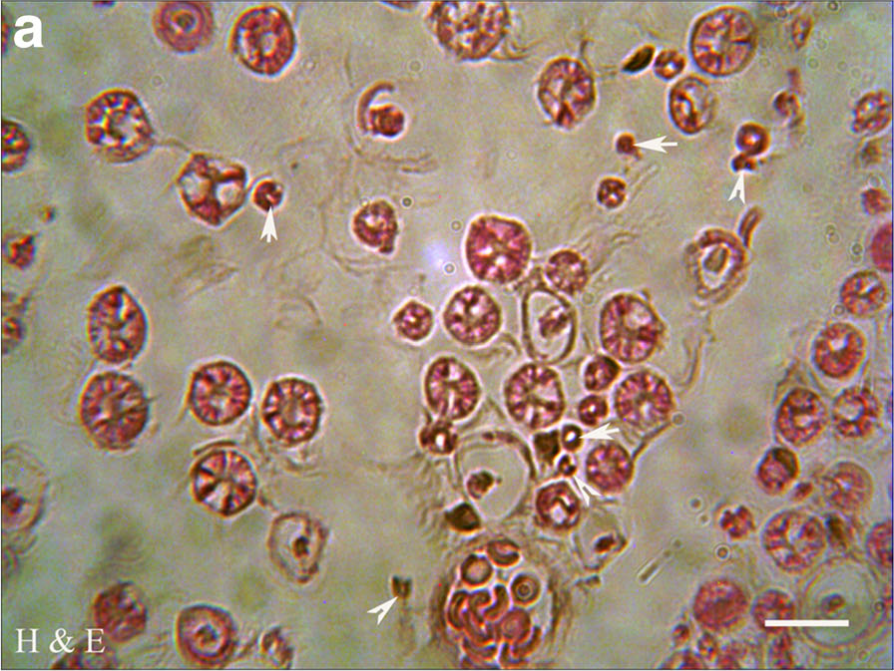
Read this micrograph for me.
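This is peripheral nerve with myelinated nerve fibers cut across, seen as round profiles scattered in a pale background. The fibers are widely separated from one another by broad pale spaces containing only thin wispy strands, and only some lie in small clusters. Several small, dense, dark round cells lie between the fibers, much smaller than the fiber profiles. Some profiles look irregular or shrunken, with distorted myelin rings.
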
